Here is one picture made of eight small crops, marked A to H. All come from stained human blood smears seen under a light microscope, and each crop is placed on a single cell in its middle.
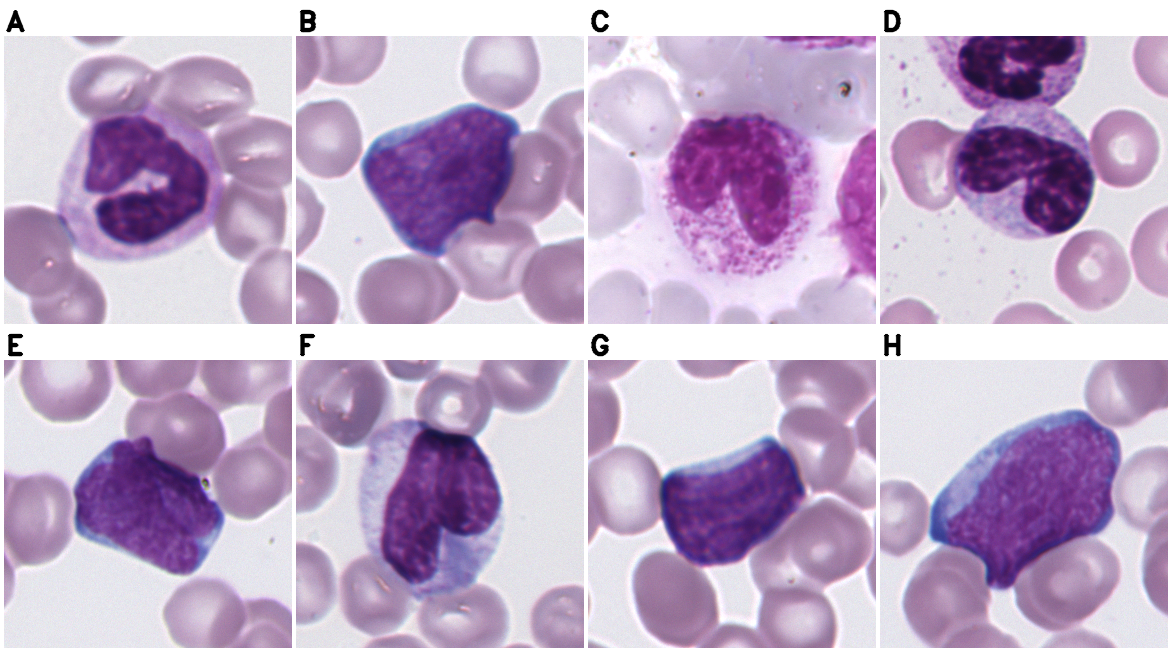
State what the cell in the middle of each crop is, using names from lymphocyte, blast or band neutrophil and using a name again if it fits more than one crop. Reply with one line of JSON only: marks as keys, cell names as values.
{"A": "band neutrophil", "B": "blast", "C": "band neutrophil", "D": "band neutrophil", "E": "blast", "F": "band neutrophil", "G": "blast", "H": "blast"}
